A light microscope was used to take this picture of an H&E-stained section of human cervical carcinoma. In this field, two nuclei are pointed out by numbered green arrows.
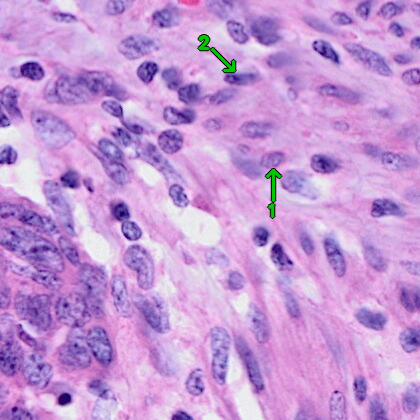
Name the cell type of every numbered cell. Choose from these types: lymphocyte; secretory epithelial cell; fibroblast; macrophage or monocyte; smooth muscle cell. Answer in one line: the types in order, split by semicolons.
smooth muscle cell; lymphocyte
